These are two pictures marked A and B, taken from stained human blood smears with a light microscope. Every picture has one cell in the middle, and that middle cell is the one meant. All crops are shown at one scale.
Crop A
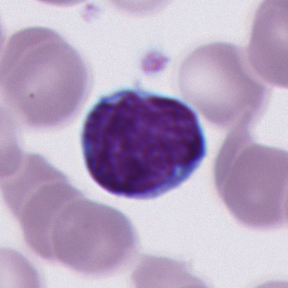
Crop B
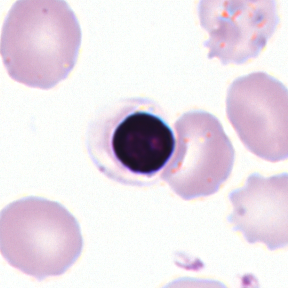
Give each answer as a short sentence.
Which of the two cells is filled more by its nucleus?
It is the cell in crop A that is filled more by its nucleus.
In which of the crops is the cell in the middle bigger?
Crop A holds the larger cell; it covers about 2.5 times the area of the cell in crop B.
